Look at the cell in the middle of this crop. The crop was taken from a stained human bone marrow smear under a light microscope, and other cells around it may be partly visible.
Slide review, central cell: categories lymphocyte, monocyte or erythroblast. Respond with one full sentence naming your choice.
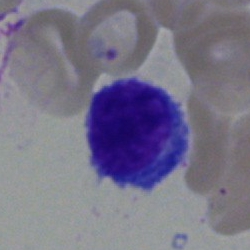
At the crop's centre, the cell is a lymphocyte.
